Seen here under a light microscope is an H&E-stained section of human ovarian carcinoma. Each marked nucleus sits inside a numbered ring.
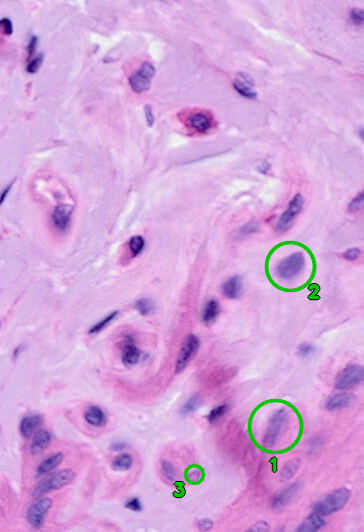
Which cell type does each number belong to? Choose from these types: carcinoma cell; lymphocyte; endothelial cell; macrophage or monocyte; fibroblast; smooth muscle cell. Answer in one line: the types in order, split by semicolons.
smooth muscle cell; fibroblast; smooth muscle cell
